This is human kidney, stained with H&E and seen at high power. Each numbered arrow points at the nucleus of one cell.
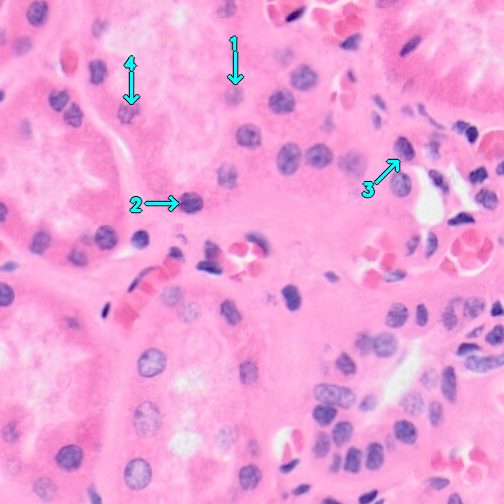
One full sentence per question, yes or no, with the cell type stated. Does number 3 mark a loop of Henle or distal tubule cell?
Yes, the one with the number 3 is a loop of Henle or distal tubule cell.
